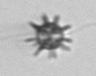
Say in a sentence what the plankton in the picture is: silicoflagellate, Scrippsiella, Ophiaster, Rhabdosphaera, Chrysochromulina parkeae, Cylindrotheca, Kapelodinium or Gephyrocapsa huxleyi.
This is Rhabdosphaera.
